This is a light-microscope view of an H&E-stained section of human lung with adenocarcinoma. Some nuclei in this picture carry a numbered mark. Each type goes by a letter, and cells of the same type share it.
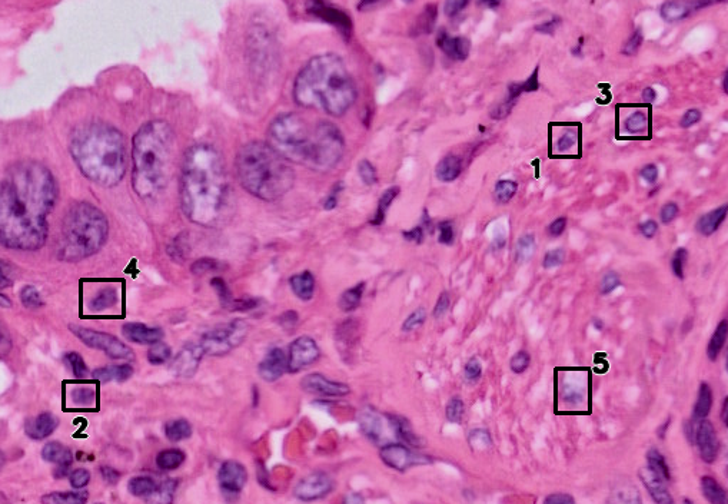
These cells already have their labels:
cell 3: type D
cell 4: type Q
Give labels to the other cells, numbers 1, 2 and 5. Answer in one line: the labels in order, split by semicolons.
type D; type Q; type D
